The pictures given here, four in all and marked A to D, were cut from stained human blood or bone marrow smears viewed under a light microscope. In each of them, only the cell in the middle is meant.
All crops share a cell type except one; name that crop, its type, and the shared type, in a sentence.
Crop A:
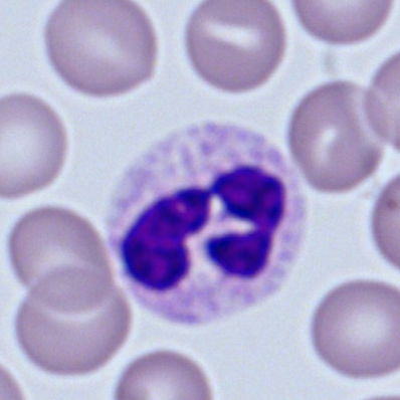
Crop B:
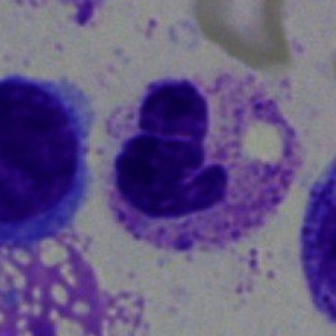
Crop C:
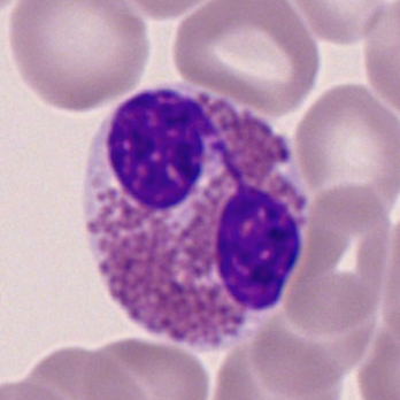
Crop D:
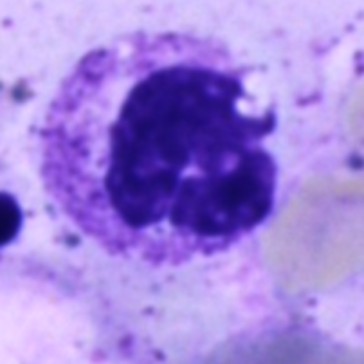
The crops all show segmented neutrophils, with the exception of crop C, which shows an eosinophil.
